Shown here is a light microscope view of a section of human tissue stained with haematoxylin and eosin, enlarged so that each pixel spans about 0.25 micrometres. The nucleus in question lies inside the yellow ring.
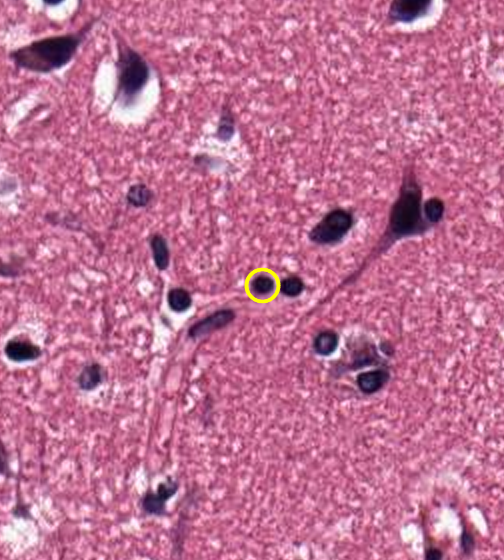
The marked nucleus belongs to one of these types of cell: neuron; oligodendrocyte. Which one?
oligodendrocyte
